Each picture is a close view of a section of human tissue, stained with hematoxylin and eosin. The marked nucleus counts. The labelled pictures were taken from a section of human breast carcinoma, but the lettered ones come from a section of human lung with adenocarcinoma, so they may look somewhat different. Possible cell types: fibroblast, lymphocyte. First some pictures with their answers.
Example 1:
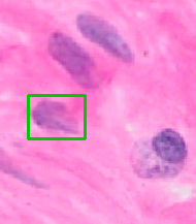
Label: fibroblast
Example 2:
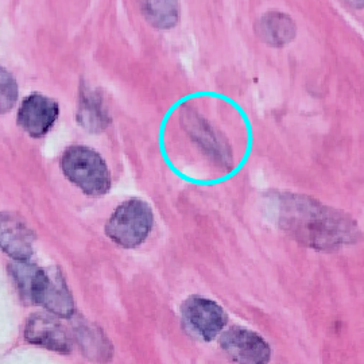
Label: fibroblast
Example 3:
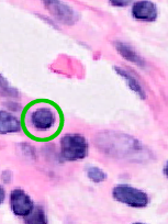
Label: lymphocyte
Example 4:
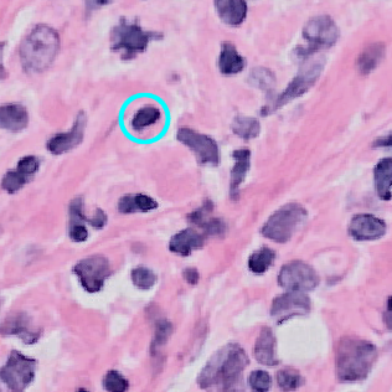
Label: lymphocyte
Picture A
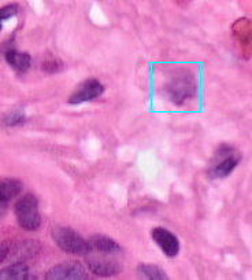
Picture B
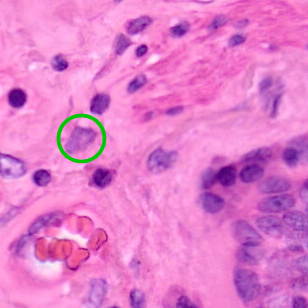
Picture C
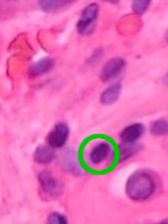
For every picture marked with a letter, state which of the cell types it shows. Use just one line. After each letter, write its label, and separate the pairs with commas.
A fibroblast, B fibroblast, C lymphocyte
